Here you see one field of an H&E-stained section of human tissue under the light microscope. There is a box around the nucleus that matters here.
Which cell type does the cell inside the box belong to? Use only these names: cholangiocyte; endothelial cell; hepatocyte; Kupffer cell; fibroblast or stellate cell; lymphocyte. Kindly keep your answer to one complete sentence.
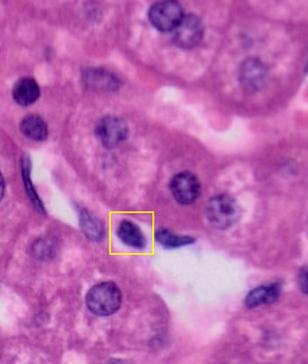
In cell-type terms, the cell inside the box is a lymphocyte.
